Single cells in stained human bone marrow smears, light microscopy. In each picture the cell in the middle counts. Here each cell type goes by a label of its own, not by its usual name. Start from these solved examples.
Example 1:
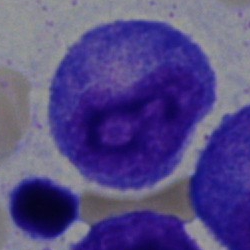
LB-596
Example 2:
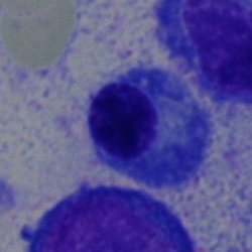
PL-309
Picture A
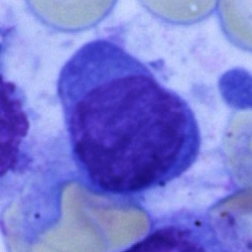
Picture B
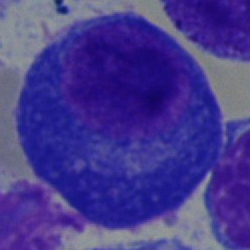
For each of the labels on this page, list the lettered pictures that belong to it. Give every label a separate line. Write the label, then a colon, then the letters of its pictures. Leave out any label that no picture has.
PL-309: A, B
